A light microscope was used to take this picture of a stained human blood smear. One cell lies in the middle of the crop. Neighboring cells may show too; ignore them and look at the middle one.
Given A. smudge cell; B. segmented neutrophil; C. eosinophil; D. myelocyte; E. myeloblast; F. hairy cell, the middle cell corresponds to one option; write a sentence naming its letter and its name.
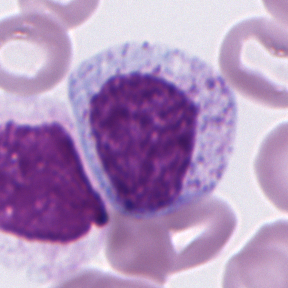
The central cell of the crop is a myelocyte, which makes D the correct option.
